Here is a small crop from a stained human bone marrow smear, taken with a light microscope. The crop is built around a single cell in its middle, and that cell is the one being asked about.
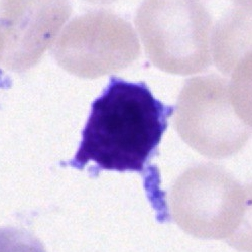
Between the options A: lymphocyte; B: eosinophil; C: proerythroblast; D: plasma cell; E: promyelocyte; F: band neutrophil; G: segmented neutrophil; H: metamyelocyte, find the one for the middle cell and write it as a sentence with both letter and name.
As the central cell is a lymphocyte, option A is correct.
